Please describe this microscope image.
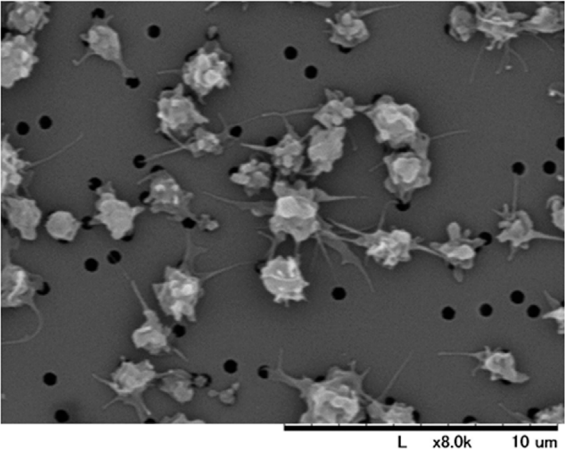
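Most have lost a smooth, rounded outline. Their surfaces are crumpled, folded or knobbly, and many bear several thin, spiky filopodia that radiate in different directions. Some platelets lie close together and touch through their processes, while others remain single. Hardly any smooth, rounded cells remain in this field, and irregular, spiky forms predominate throughout.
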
